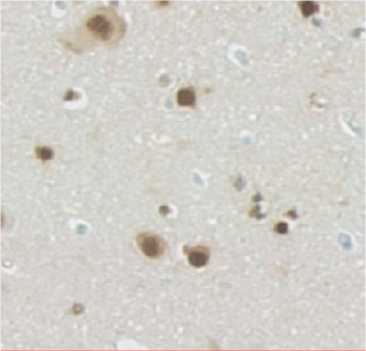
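This is grey matter with brown-stained cell bodies of various sizes on a pale beige background. A few larger rounded neuronal cell bodies stand out among many smaller dark profiles. Small pale, unstained round spaces are scattered through the field as well.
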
